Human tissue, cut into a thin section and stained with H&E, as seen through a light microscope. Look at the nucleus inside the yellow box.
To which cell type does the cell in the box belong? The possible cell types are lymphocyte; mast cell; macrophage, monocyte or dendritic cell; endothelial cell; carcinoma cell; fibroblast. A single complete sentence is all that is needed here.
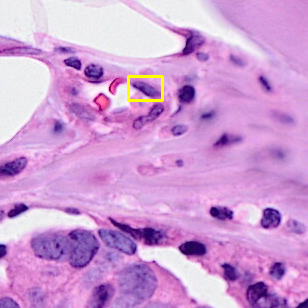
Right, so the cell in the box is an endothelial cell, to answer that.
